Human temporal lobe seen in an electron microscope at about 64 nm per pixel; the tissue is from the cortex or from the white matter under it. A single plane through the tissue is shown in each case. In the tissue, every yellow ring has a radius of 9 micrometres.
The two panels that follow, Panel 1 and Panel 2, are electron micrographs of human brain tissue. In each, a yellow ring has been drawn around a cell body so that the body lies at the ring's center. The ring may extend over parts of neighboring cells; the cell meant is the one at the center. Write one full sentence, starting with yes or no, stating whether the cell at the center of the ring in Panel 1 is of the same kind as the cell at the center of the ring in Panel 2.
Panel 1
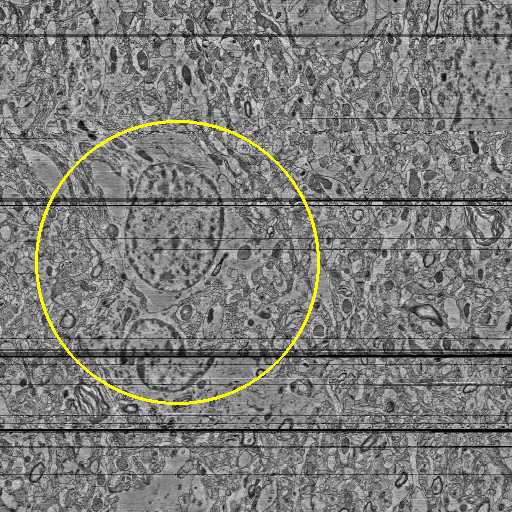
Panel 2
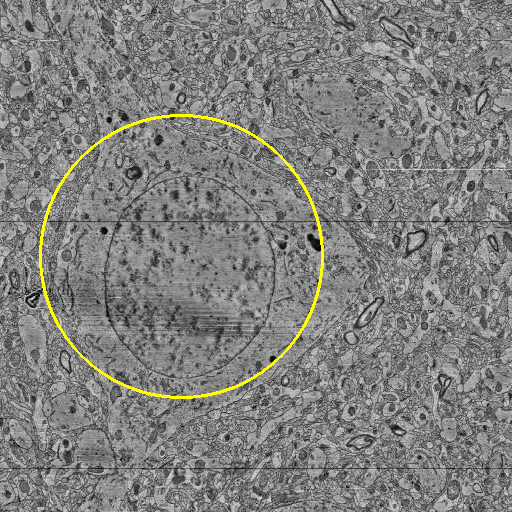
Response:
No, the cells in the two panels are of two kinds.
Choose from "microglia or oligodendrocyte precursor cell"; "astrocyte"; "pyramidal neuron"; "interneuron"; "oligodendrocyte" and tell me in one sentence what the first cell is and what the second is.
What the first ring is centred on is an astrocyte; what the second ring is centred on is a pyramidal neuron.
